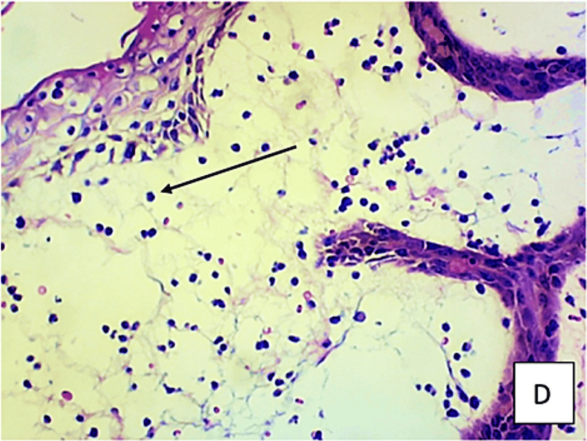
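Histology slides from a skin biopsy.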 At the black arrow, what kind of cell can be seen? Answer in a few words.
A: Lymphocytes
